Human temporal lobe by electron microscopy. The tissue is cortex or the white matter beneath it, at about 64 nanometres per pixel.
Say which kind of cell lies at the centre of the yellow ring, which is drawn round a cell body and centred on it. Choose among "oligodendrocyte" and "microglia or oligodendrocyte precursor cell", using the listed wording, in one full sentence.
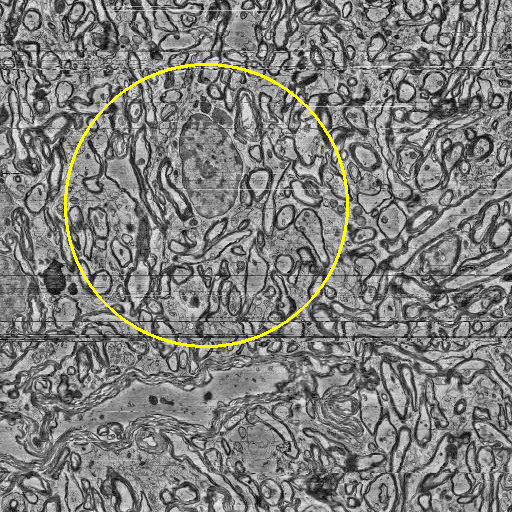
Going by the list, the cell at the yellow ring's centre is a microglial cell or oligodendrocyte precursor cell.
